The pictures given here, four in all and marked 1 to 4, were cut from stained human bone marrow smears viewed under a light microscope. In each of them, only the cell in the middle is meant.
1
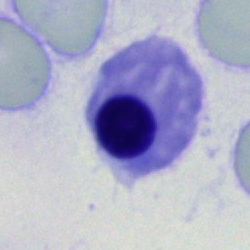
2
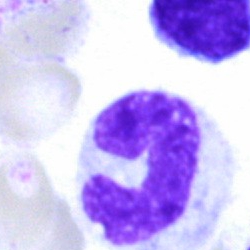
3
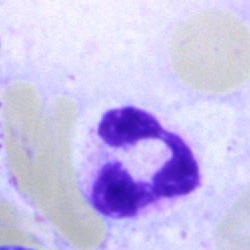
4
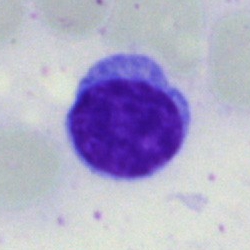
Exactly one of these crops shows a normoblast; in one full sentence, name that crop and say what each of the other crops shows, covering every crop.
In crop 1 there is a normoblast, while crop 2 is a band neutrophil, crop 3 is a segmented neutrophil and crop 4 is a lymphocyte.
